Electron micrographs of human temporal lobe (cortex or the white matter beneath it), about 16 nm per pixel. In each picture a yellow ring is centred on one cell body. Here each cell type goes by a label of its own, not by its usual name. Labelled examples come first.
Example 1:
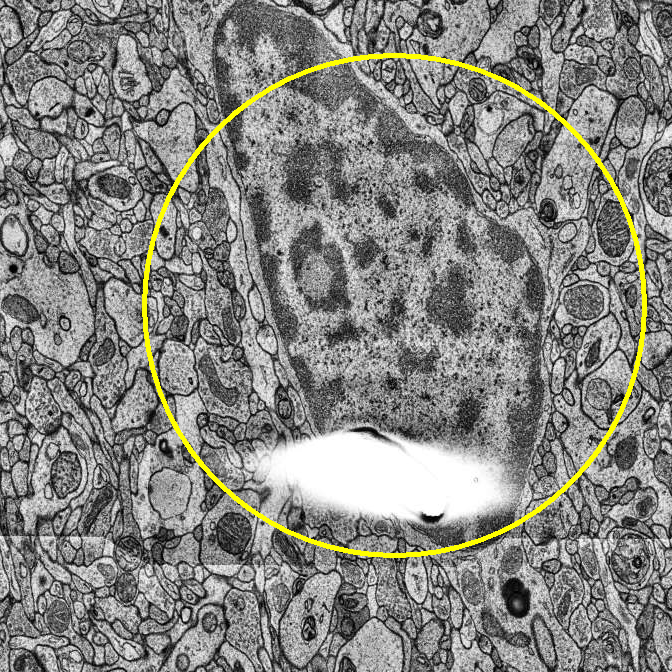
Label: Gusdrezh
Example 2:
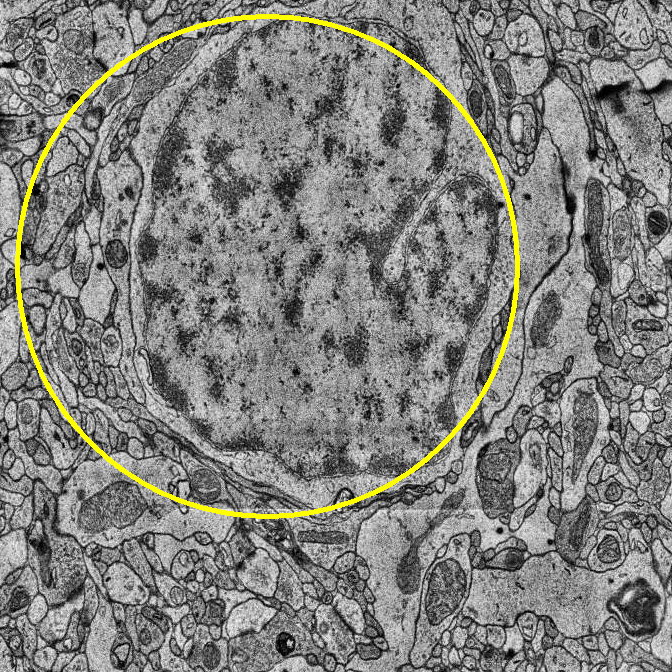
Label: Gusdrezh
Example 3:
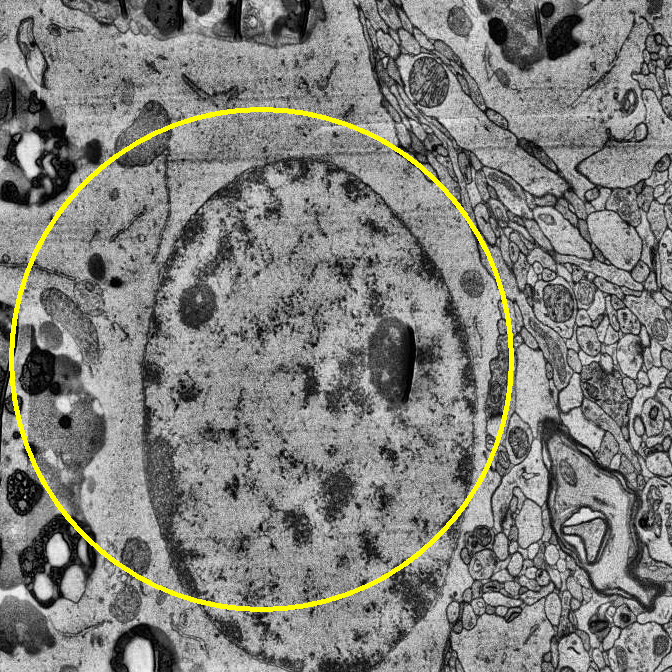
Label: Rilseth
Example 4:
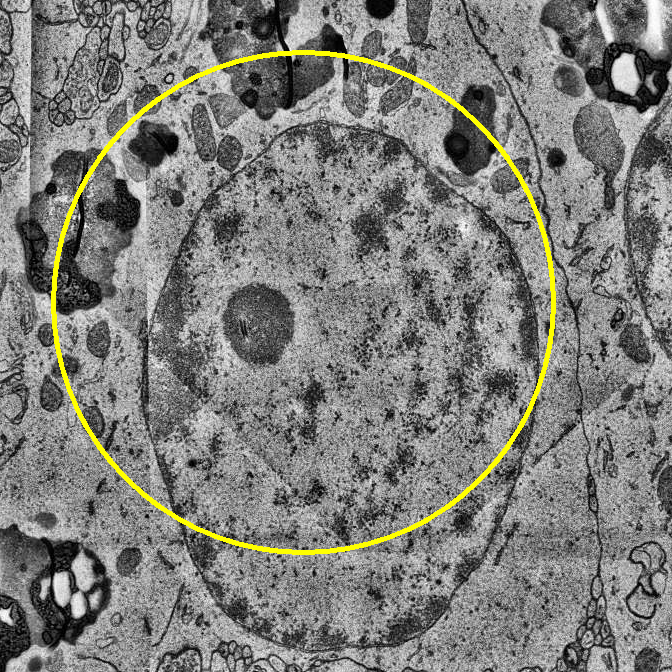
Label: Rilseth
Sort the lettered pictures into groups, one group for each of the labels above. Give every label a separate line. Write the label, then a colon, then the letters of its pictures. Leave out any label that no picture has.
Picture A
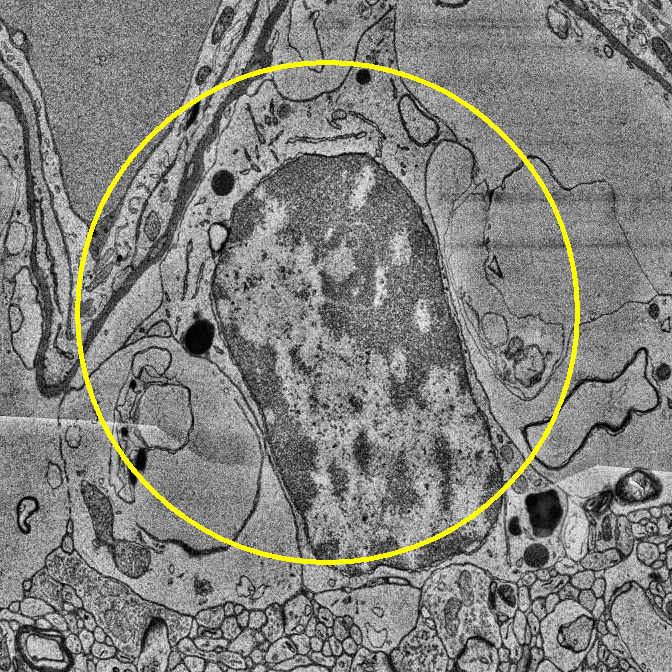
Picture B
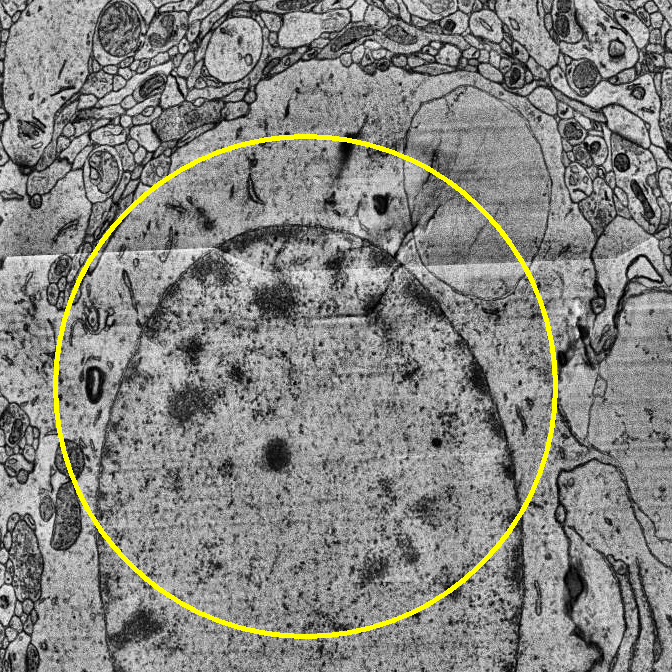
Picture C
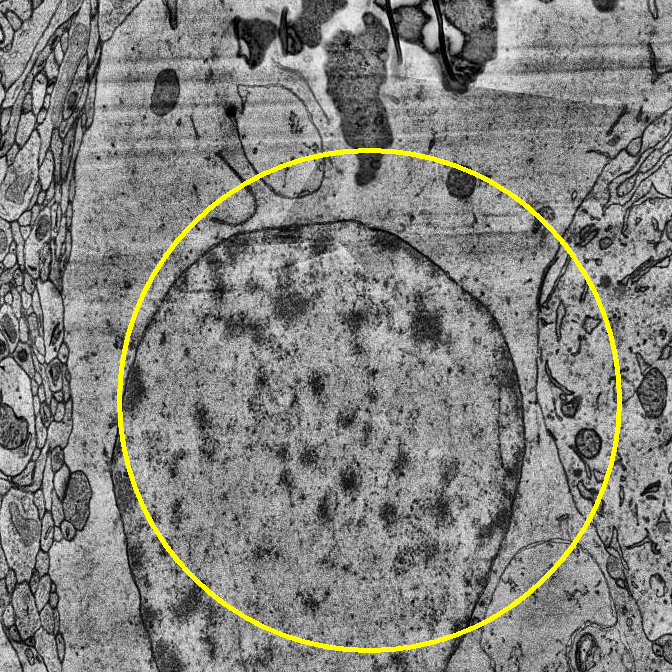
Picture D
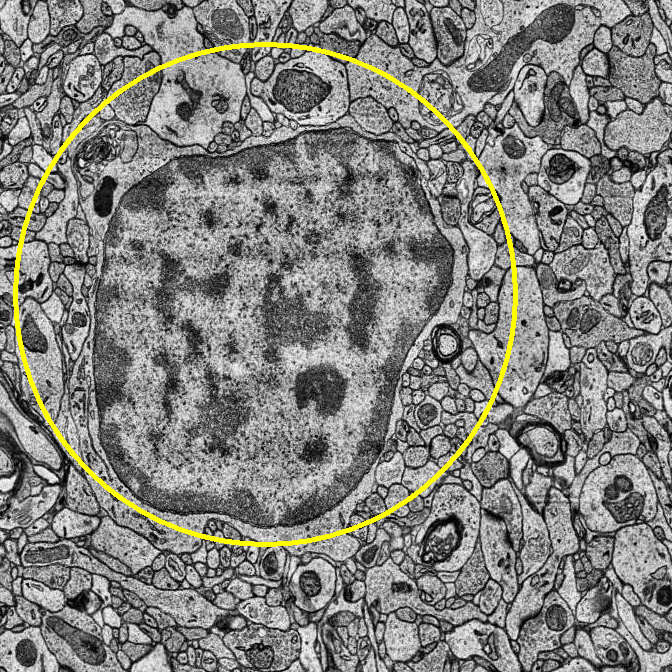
Gusdrezh: A, D
Rilseth: B, C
